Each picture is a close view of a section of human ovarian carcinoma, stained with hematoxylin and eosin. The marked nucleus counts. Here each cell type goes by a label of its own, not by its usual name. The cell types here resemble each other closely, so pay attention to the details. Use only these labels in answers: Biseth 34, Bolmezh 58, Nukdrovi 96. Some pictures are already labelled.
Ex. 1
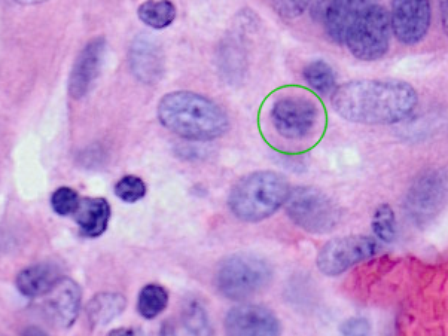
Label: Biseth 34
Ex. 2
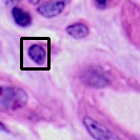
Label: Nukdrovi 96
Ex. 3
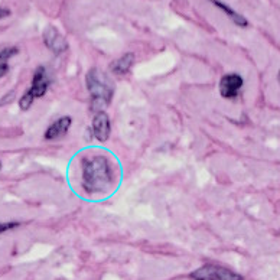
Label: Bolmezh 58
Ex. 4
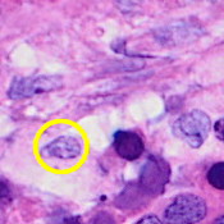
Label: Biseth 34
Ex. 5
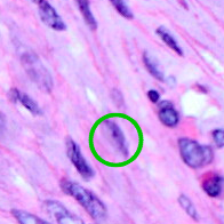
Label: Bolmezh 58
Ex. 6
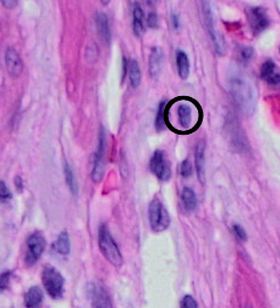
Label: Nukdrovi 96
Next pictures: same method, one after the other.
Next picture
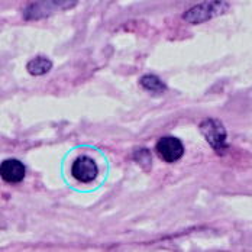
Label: Nukdrovi 96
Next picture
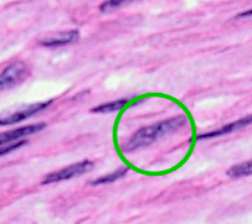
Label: Bolmezh 58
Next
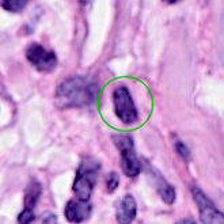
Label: Nukdrovi 96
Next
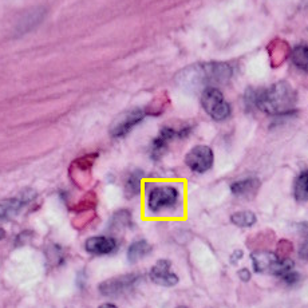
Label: Nukdrovi 96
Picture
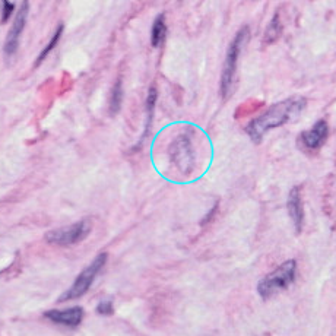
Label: Bolmezh 58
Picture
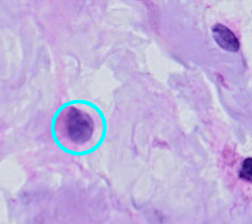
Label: Bolmezh 58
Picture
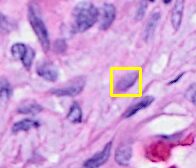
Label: Bolmezh 58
